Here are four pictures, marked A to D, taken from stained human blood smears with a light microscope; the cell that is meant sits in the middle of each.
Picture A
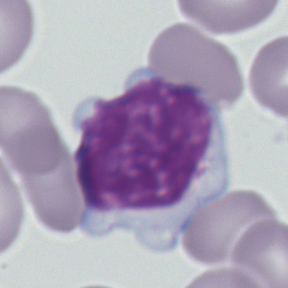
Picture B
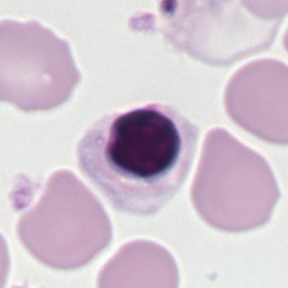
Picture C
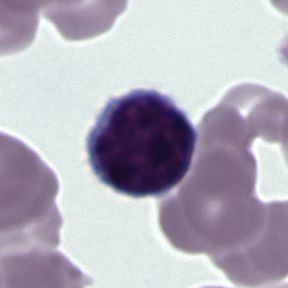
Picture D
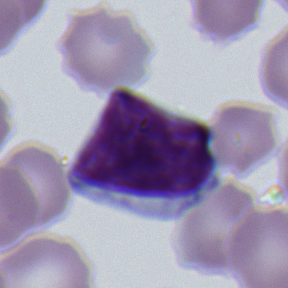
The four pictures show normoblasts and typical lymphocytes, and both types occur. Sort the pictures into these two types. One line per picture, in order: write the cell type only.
typical lymphocyte
normoblast
typical lymphocyte
typical lymphocyte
